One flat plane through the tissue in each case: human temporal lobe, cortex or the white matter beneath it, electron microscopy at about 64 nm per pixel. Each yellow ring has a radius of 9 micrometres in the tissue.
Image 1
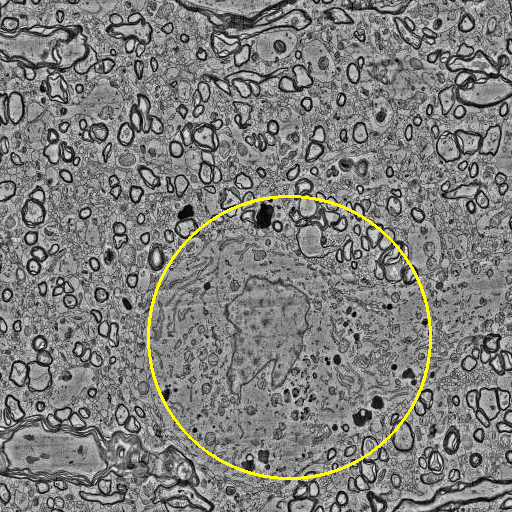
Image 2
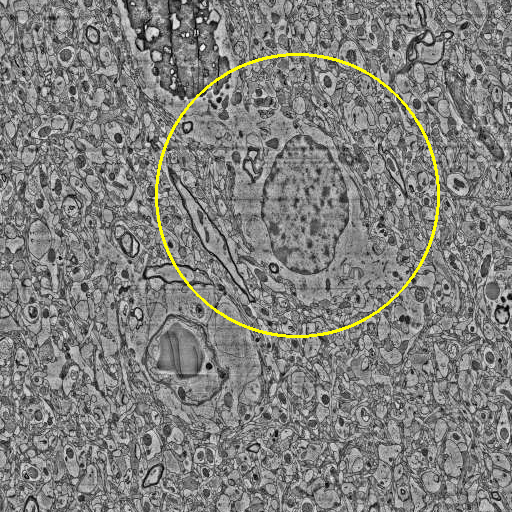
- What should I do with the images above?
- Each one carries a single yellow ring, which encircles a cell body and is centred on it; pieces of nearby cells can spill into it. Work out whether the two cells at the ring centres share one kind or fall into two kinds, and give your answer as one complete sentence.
The ring-centre cells of Image 1 and Image 2 fall into two kinds.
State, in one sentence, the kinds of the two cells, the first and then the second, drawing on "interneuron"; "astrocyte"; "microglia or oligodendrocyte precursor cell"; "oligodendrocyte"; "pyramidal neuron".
The ring in the second picture is centred on an astrocyte, the ring in the first on a pyramidal neuron.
